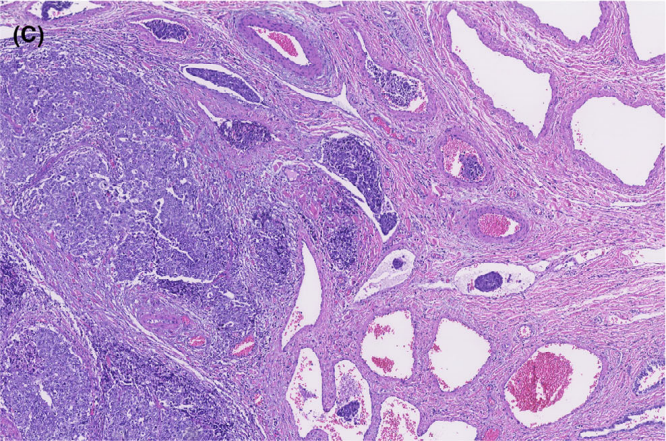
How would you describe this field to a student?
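On the left a large solid sheet of crowded, dark purple tumour cells fills much of the field, divided into lobules by pink fibrous stroma. To the right the loose stroma holds many thin-walled vessels of varying size, some filled with red blood cells. Several of these round lumens contain small, compact clusters of dark purple tumour cells lying free within them. Tumour cells within vessel spaces are the picture of vascular invasion.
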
